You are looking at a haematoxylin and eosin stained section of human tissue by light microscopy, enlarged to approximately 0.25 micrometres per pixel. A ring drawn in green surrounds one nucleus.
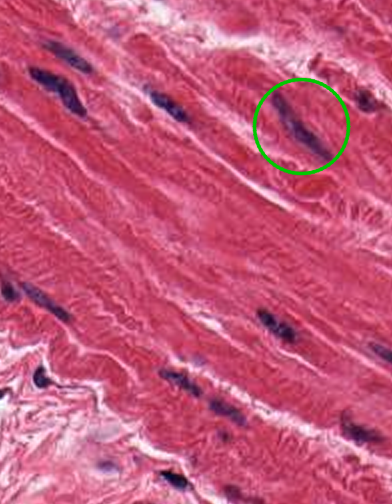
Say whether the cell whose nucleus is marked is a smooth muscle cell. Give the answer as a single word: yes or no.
yes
